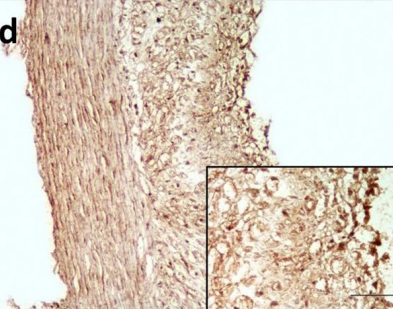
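This section shows the wall of an artery bearing an atherosclerotic lesion, with a compact wall layer on the left and a thick, loose lesion on the luminal side to the right. The wall layer consists of many elongated, spindle-shaped cells lying parallel to one another in closely packed bands. The lesion is made of rounded cells with pale, vacuolated cytoplasm, giving it a meshwork look. A yellow-brown stain runs through both the wall and the lesion, strongest along the cell outlines in the lesion, as the enlarged inset shows.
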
